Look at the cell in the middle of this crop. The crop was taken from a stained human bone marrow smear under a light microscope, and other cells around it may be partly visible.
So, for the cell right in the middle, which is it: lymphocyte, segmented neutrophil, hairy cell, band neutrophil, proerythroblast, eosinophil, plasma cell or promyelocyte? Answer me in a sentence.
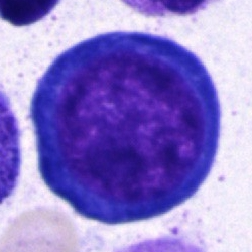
The cell under consideration, at the middle of the crop, is a proerythroblast.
